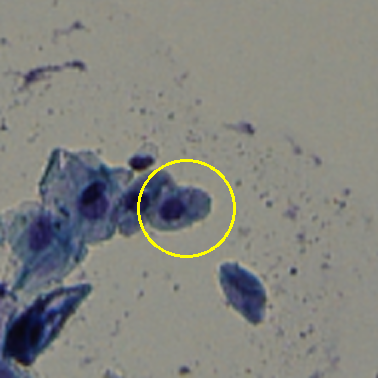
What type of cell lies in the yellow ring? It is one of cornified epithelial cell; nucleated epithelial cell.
The ringed cell is a nucleated epithelial cell.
